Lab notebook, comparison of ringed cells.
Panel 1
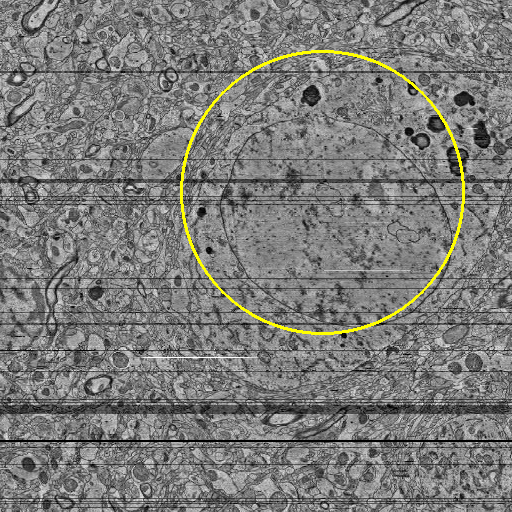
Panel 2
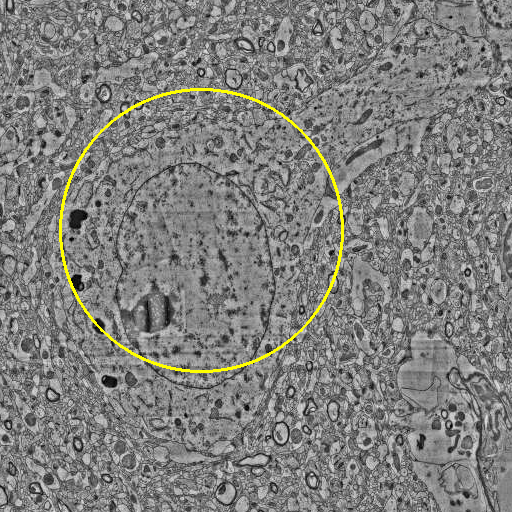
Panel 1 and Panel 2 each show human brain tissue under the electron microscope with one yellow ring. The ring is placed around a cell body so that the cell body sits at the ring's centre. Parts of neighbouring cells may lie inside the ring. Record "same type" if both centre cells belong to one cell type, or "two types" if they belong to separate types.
same type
